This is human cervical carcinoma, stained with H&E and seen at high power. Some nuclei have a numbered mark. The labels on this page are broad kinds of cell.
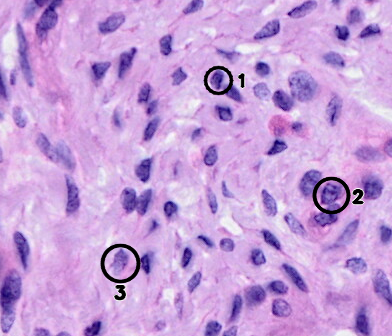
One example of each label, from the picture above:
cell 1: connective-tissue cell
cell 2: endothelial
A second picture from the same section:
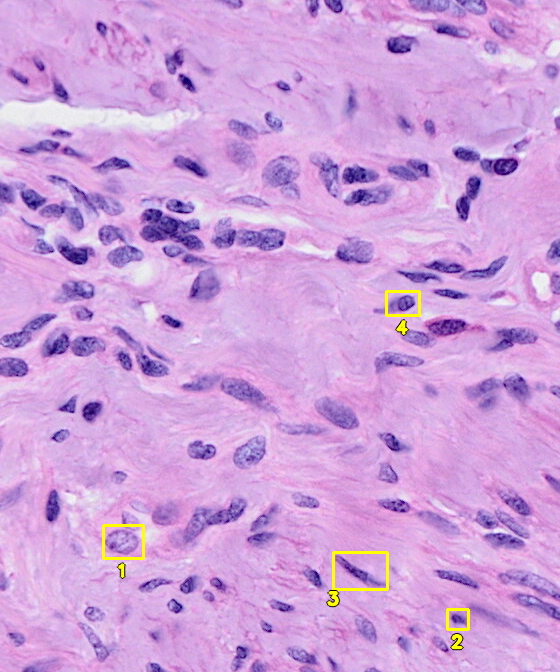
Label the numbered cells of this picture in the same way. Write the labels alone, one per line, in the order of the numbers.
endothelial
connective-tissue cell
connective-tissue cell
connective-tissue cell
